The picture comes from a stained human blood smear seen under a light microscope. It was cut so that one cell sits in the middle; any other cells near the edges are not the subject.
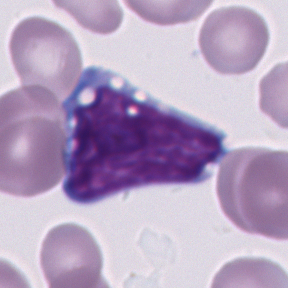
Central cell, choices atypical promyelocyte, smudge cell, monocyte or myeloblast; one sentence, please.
In the middle of this smear crop is a myeloblast.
